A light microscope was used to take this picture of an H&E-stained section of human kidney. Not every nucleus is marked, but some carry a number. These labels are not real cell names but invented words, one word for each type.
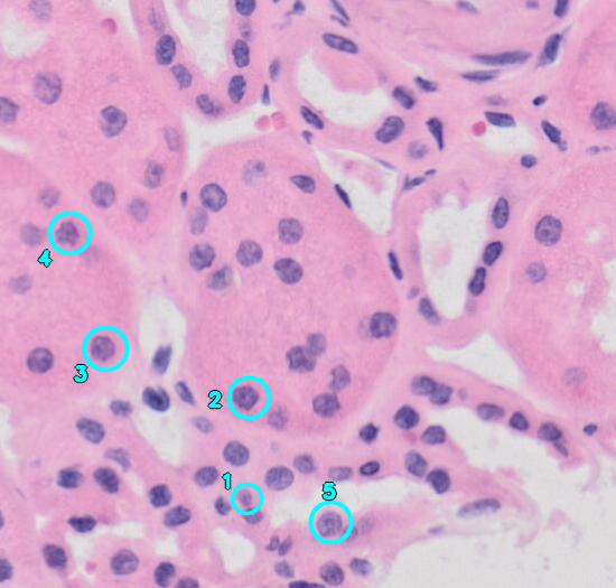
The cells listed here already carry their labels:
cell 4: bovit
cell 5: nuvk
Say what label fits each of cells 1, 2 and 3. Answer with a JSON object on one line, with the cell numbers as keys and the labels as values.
{"1": "nuvk", "2": "bovit", "3": "bovit"}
